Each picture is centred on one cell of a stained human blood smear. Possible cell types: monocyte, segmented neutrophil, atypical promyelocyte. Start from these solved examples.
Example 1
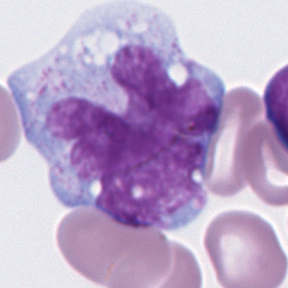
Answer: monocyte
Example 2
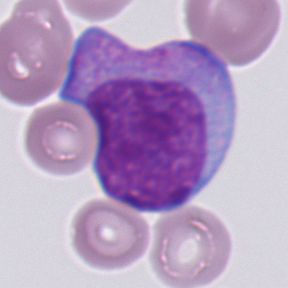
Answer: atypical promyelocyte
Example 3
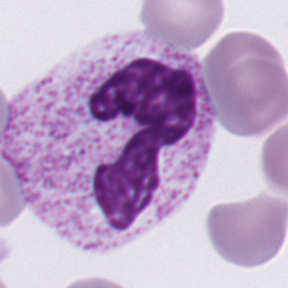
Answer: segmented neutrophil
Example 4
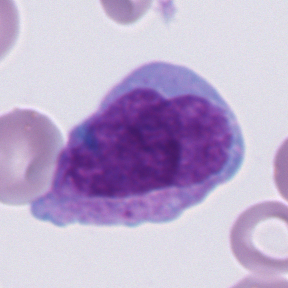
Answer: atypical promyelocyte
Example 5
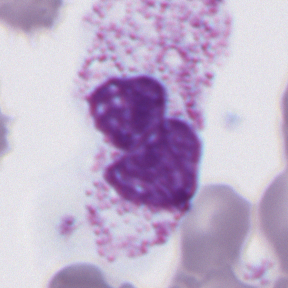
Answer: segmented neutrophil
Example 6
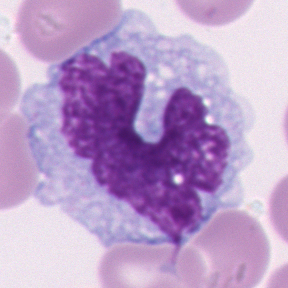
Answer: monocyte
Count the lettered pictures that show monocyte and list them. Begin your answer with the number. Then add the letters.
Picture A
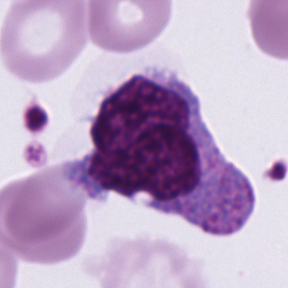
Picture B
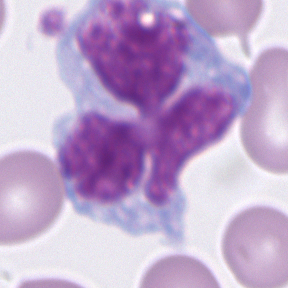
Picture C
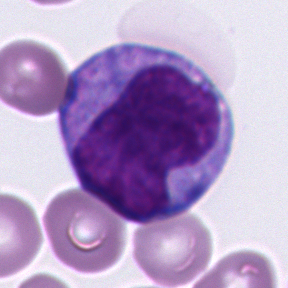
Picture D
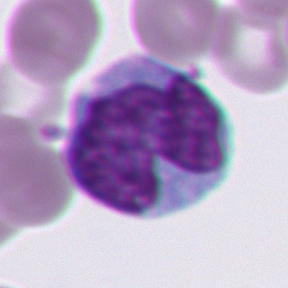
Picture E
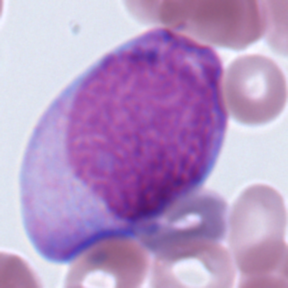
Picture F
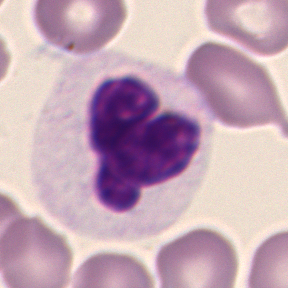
Count: 3 (A, B, D)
